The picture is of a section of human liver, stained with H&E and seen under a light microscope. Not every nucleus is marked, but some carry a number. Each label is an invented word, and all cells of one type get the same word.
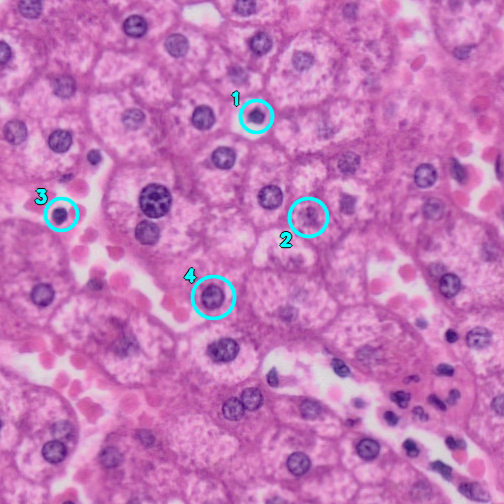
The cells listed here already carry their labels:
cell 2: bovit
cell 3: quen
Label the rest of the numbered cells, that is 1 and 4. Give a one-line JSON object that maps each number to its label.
{"1": "quen", "4": "bovit"}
